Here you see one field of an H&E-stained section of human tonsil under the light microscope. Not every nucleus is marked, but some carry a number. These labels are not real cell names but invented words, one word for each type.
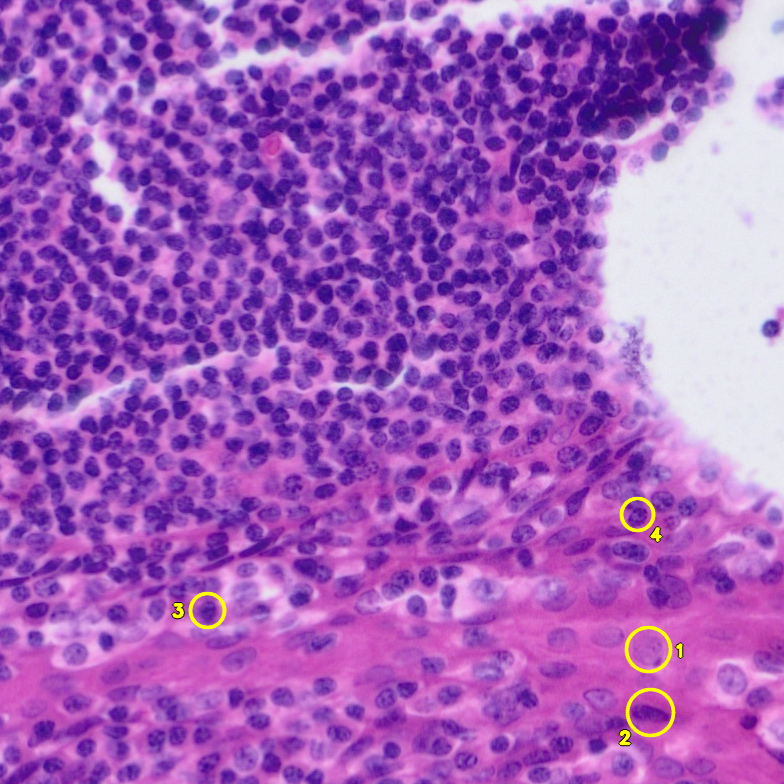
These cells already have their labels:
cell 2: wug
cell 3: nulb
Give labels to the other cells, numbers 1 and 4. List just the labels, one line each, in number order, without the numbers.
wug
nulb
